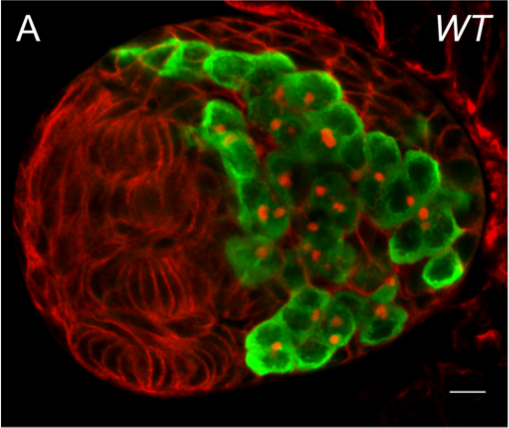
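The germ cells are large and rounded, packed closely side by side, with darker nuclear areas within the green cytoplasm. Most germ cells carry a single small, round red fusome. Red lines outline the cell borders and the edge of the gonad.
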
